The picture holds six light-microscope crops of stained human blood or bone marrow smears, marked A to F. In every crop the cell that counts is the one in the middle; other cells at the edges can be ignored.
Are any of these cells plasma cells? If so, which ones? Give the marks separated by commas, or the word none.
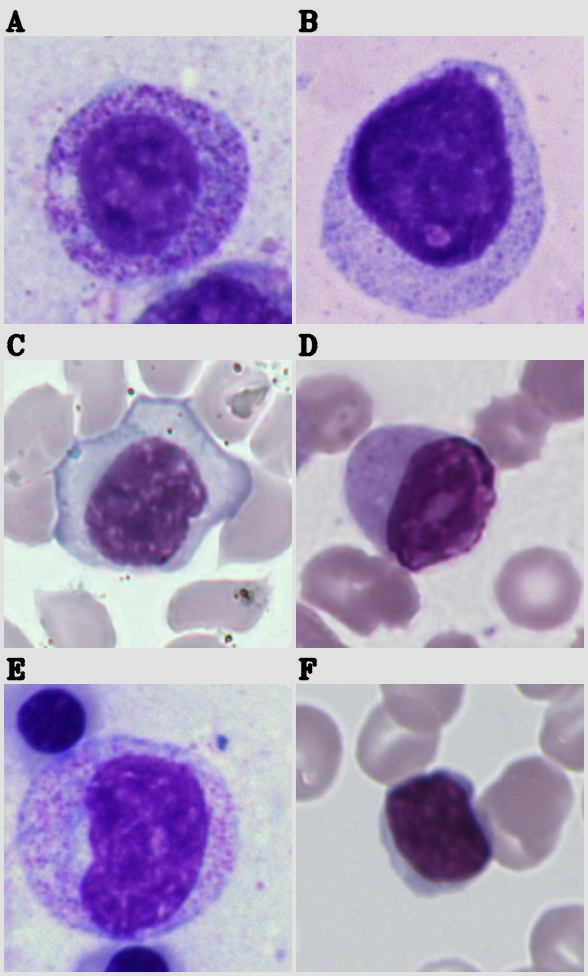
C, D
